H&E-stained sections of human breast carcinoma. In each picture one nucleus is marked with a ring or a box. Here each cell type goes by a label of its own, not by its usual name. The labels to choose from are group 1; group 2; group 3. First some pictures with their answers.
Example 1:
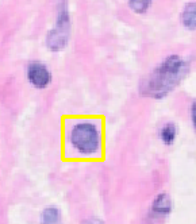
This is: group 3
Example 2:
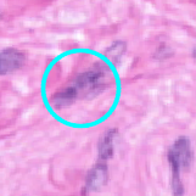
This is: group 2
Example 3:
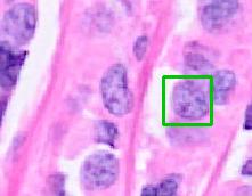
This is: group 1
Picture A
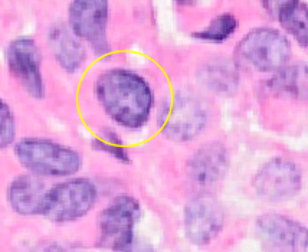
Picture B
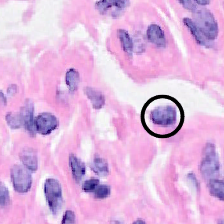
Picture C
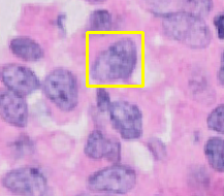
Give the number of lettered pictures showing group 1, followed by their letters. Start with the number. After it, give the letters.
2: A, C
